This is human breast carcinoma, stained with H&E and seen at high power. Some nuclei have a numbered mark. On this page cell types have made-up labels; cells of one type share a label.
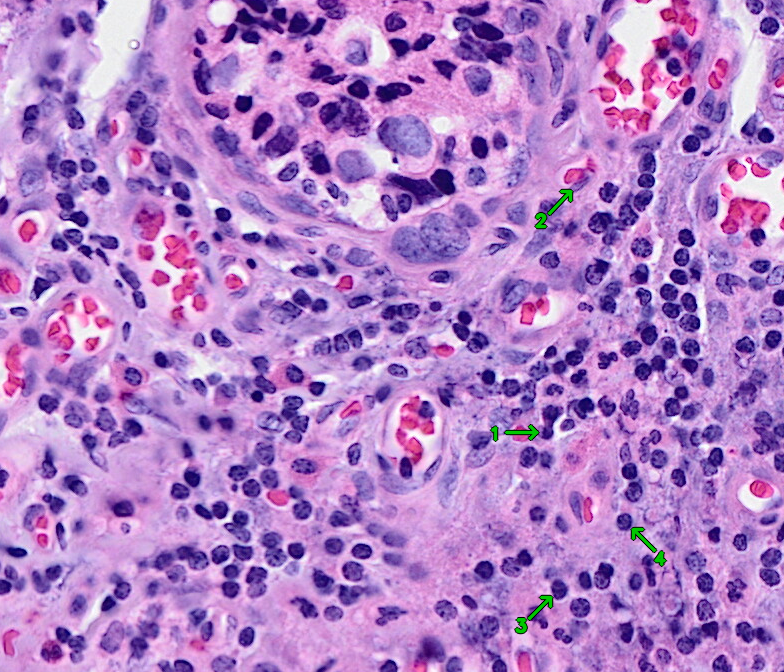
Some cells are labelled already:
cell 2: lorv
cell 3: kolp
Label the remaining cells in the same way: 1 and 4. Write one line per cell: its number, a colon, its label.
1: kolp
4: kolp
